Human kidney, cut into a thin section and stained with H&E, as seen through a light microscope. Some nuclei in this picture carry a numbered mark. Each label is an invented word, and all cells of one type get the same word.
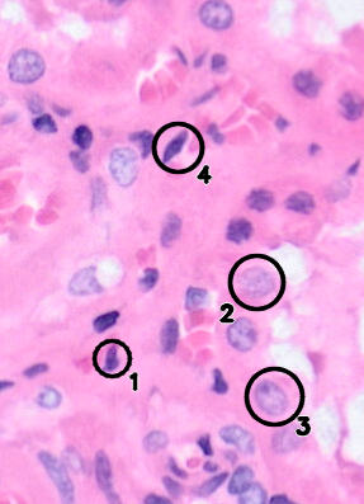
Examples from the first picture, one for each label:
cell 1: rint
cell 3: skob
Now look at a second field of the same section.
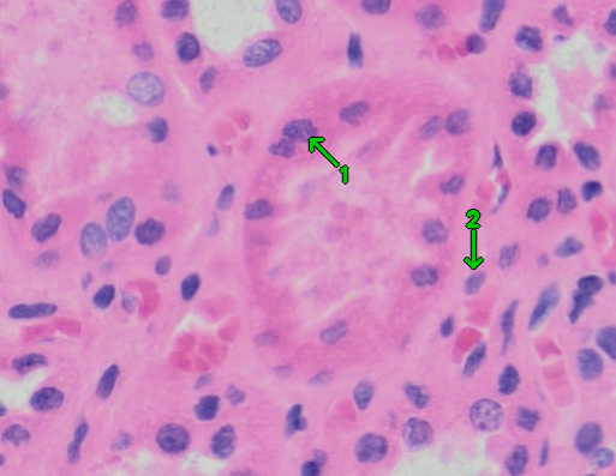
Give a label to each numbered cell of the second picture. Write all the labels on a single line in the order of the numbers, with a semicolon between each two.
skob; rint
